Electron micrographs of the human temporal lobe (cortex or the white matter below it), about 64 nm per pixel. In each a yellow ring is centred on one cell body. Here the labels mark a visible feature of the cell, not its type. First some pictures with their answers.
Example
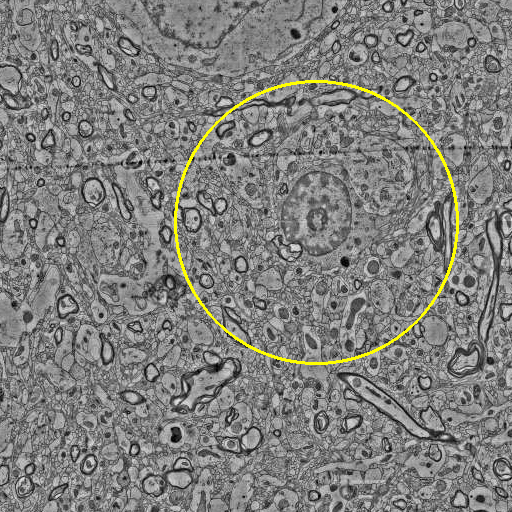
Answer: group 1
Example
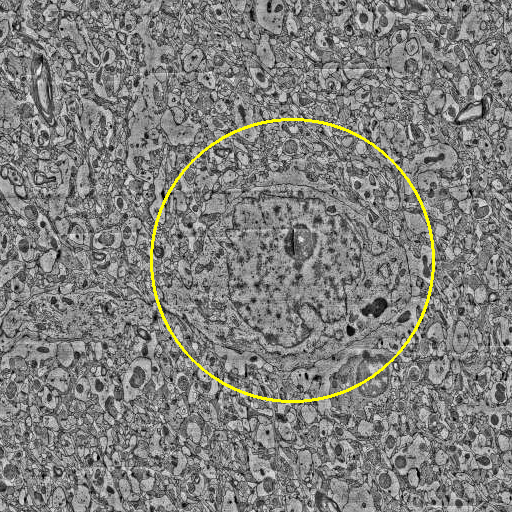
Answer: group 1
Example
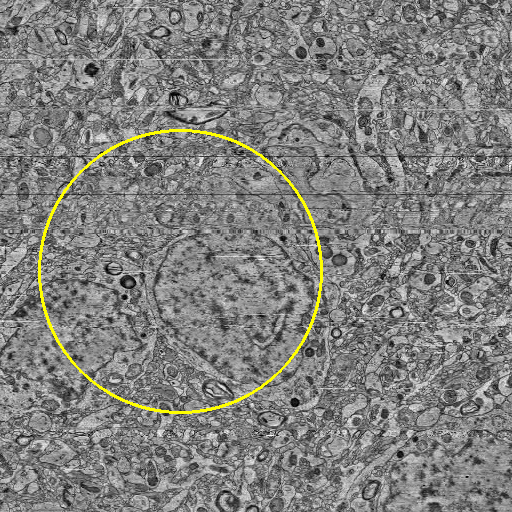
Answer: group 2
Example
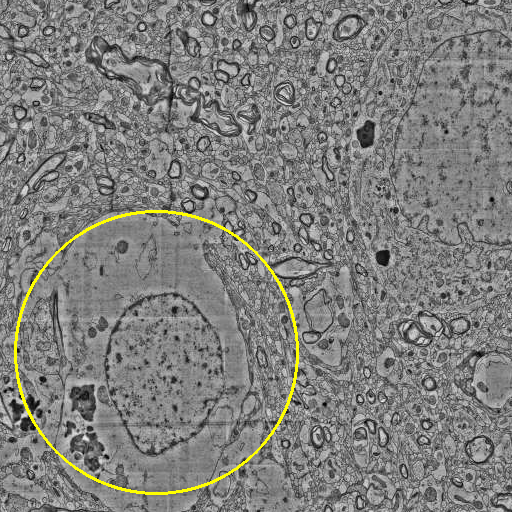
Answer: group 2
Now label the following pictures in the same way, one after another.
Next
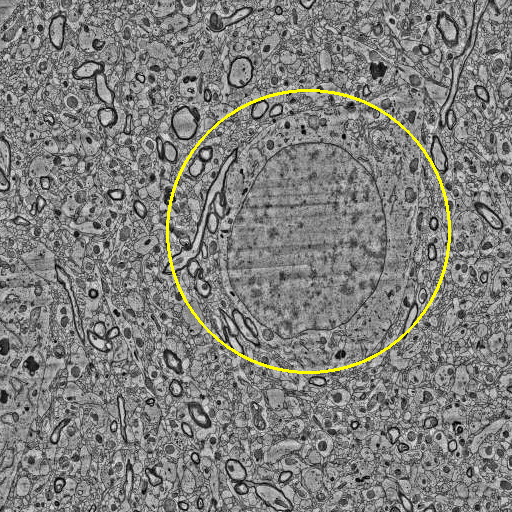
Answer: group 2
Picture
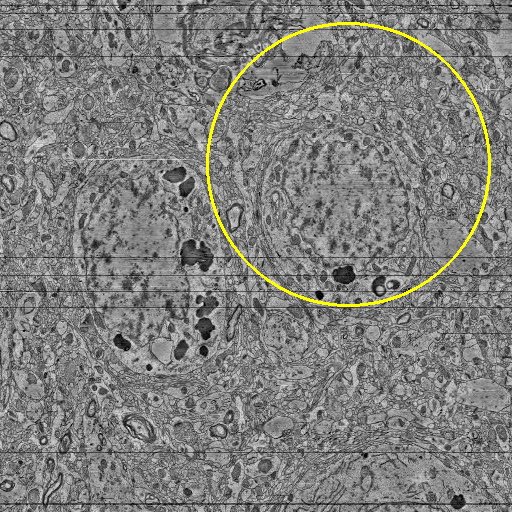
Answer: group 2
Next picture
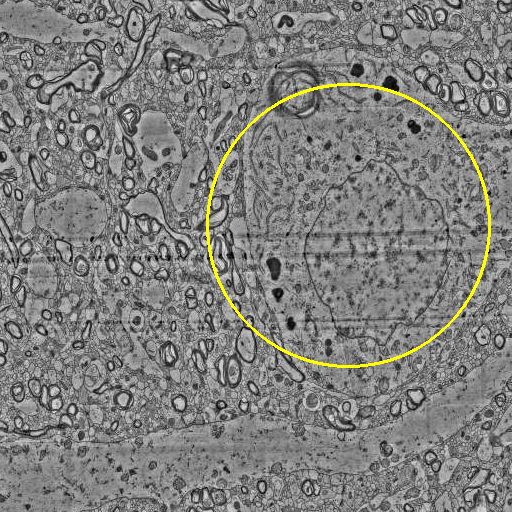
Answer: group 2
